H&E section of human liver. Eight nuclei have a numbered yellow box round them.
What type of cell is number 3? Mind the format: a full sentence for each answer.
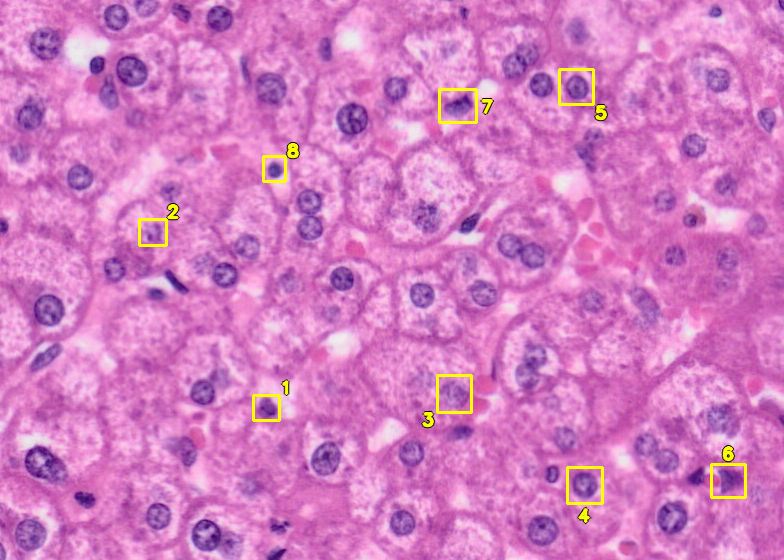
The numbered cell 3 in this field is a hepatocyte.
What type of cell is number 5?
Among the marked nuclei, number 5 belongs to a hepatocyte.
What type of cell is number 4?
The marked cell bearing number 4 is a hepatocyte.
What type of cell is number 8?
The cell that is numbered 8 is a lymphocyte.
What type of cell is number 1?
In this section, number 1 marks a Kupffer cell.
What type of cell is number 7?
The cell that bears the number 7 is an endothelial cell.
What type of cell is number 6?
Classified as an endothelial cell is the cell with the number 6.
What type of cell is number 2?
At number 2, the marked cell is a hepatocyte.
